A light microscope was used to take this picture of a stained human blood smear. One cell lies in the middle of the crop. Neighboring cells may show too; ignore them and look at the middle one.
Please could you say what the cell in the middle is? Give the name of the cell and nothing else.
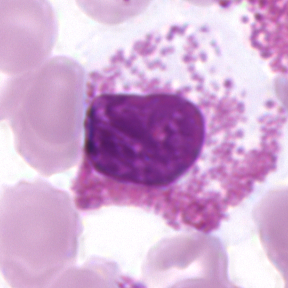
eosinophil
